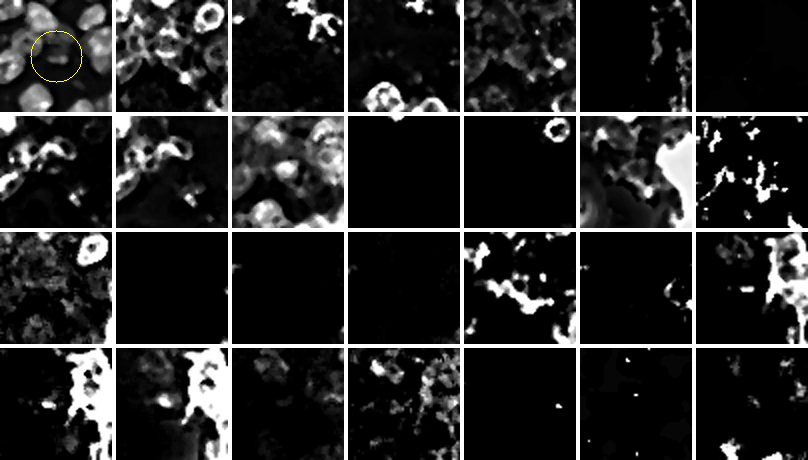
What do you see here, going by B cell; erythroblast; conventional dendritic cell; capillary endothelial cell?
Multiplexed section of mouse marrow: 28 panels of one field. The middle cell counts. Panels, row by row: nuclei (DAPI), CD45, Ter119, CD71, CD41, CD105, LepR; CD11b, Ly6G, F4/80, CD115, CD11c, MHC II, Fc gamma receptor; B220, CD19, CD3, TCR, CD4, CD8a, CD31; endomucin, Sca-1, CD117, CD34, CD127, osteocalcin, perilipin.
I see a capillary endothelial cell.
